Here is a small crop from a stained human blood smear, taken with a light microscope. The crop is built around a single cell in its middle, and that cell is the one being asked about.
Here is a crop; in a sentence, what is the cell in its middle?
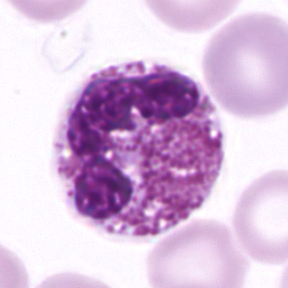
This crop is built around an eosinophil at its centre.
